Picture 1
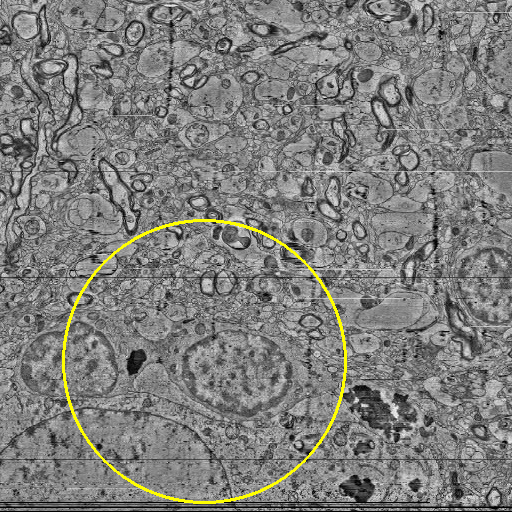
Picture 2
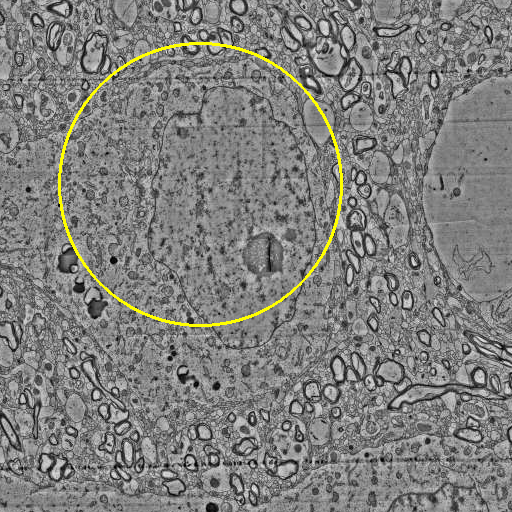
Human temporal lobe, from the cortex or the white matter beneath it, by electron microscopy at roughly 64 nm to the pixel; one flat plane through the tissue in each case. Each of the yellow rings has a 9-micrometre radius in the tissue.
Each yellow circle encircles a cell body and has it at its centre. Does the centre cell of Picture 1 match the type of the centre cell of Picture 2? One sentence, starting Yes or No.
No, the cell centred in Picture 1 and the one in Picture 2 have separate types.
